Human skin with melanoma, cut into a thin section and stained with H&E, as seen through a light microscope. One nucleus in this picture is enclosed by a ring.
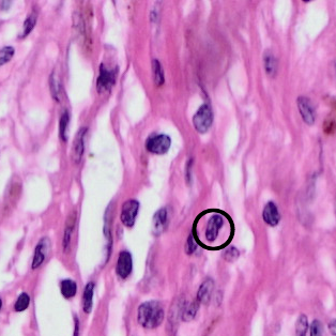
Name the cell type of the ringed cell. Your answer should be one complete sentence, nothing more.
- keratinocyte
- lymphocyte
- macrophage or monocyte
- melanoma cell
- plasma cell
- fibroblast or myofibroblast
As to its cell type, the ringed cell is a lymphocyte.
